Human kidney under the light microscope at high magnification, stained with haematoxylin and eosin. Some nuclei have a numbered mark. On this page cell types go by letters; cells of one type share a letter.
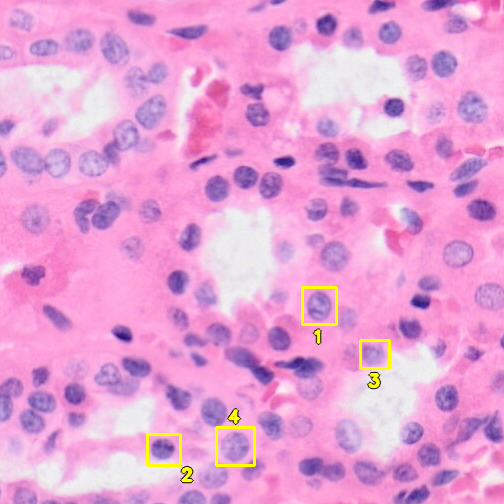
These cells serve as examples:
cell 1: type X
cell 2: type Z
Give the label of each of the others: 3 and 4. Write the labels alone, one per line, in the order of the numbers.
type X
type Z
